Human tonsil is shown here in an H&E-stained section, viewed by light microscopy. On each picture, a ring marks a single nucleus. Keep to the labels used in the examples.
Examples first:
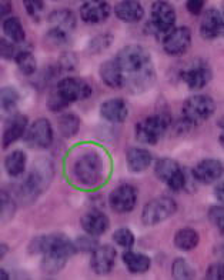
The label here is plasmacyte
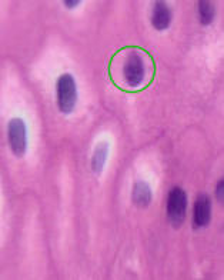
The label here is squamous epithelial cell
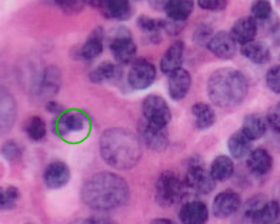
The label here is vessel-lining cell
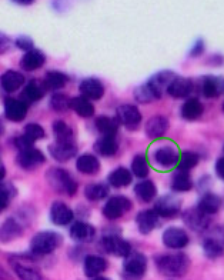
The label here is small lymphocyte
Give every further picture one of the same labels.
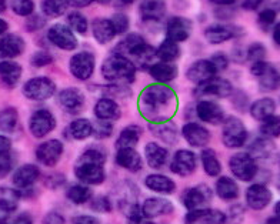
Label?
small lymphocyte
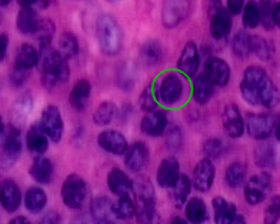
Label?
plasmacyte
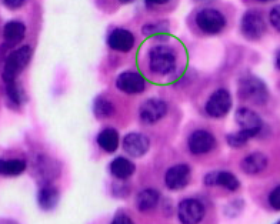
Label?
plasmacyte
